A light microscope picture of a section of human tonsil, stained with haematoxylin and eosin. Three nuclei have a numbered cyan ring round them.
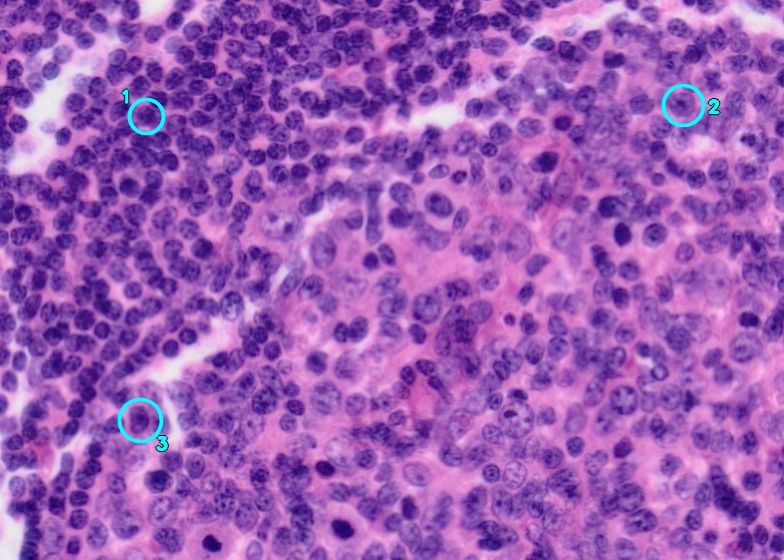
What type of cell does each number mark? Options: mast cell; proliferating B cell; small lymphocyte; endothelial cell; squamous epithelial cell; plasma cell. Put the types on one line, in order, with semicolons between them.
small lymphocyte; proliferating B cell; proliferating B cell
